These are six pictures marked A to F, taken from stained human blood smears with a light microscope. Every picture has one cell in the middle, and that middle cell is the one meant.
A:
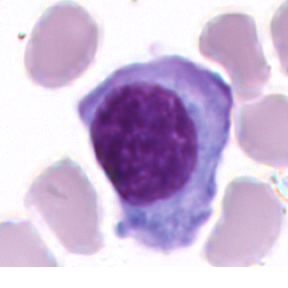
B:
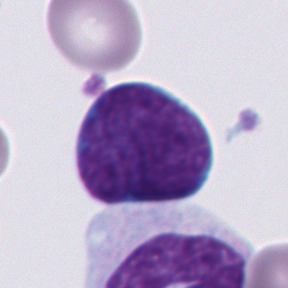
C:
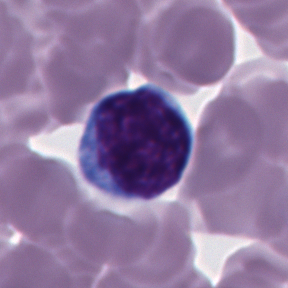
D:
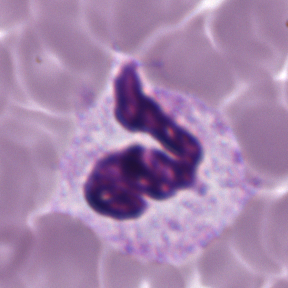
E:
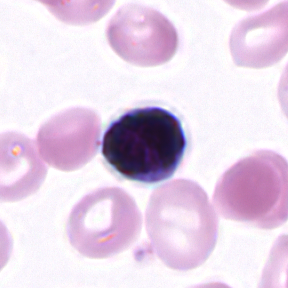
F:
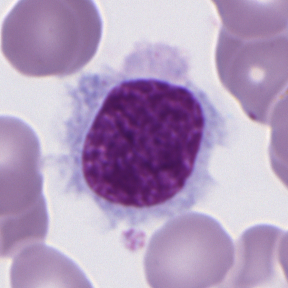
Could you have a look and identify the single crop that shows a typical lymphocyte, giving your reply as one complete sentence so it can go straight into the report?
Of the cells presented, the one in crop C is a typical lymphocyte.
